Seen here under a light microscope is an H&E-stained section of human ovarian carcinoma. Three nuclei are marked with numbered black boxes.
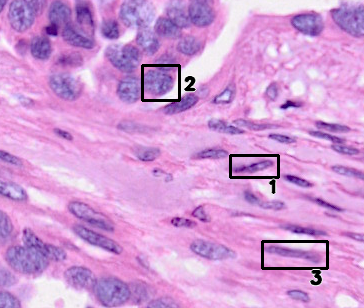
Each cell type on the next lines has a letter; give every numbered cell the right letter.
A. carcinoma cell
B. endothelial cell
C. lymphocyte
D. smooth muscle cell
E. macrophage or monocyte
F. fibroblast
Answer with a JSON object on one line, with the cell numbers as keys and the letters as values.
{"1": "F", "2": "A", "3": "F"}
